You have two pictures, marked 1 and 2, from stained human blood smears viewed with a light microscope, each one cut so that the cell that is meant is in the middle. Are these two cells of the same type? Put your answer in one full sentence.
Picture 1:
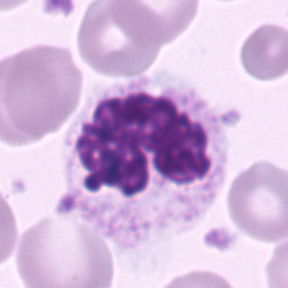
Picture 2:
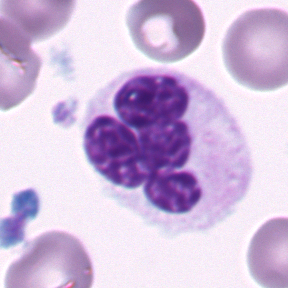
Yes, they are the same type: both are segmented neutrophils.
